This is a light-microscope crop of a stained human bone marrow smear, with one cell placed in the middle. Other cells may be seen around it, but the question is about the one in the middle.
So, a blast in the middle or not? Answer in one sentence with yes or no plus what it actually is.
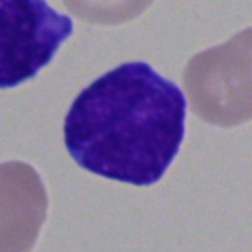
Yes, the cell in the middle of the view is a blast.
